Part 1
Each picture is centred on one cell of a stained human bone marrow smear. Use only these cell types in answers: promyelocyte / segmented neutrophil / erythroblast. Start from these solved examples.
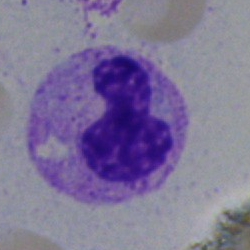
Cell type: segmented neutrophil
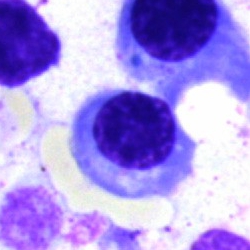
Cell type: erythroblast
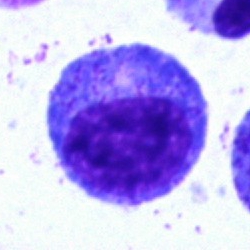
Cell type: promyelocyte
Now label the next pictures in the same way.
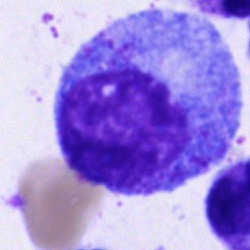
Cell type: promyelocyte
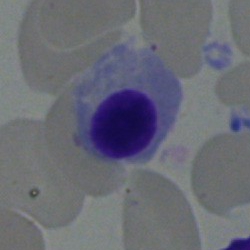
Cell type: erythroblast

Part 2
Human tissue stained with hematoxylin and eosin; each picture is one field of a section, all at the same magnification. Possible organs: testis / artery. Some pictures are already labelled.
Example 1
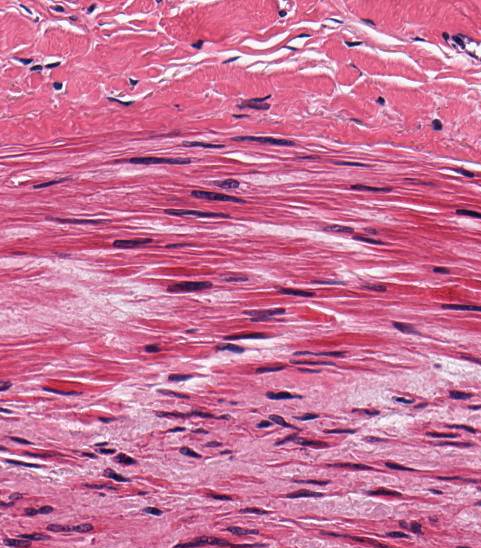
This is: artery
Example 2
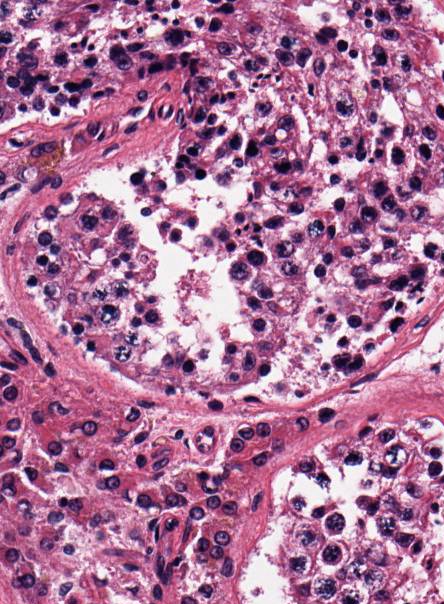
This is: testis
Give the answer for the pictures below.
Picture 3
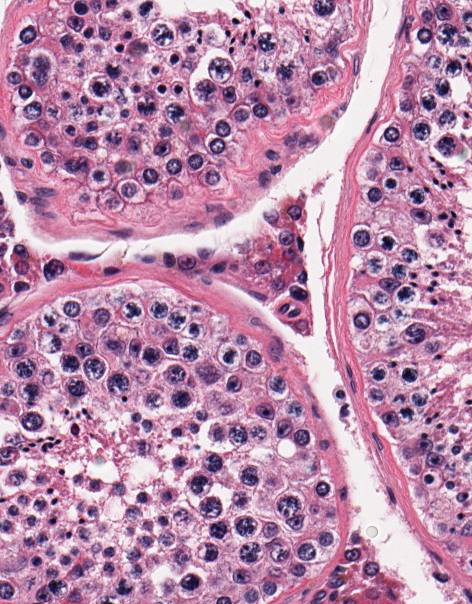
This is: testis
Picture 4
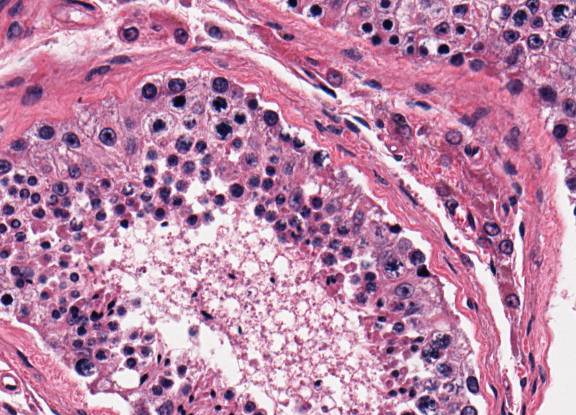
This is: testis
